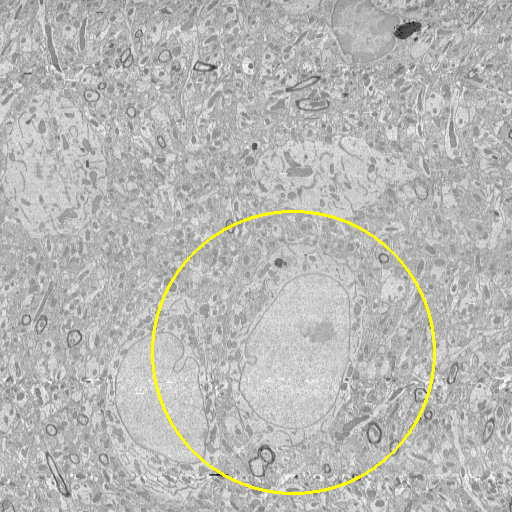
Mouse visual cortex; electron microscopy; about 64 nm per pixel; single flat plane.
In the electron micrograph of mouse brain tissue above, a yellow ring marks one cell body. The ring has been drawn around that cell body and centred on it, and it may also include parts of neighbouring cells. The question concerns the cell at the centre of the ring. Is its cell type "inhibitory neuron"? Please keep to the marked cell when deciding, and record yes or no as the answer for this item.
no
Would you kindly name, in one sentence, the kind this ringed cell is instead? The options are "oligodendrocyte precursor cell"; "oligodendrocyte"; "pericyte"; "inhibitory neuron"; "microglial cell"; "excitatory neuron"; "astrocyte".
Instead, the cell inside the ring is an excitatory neuron.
